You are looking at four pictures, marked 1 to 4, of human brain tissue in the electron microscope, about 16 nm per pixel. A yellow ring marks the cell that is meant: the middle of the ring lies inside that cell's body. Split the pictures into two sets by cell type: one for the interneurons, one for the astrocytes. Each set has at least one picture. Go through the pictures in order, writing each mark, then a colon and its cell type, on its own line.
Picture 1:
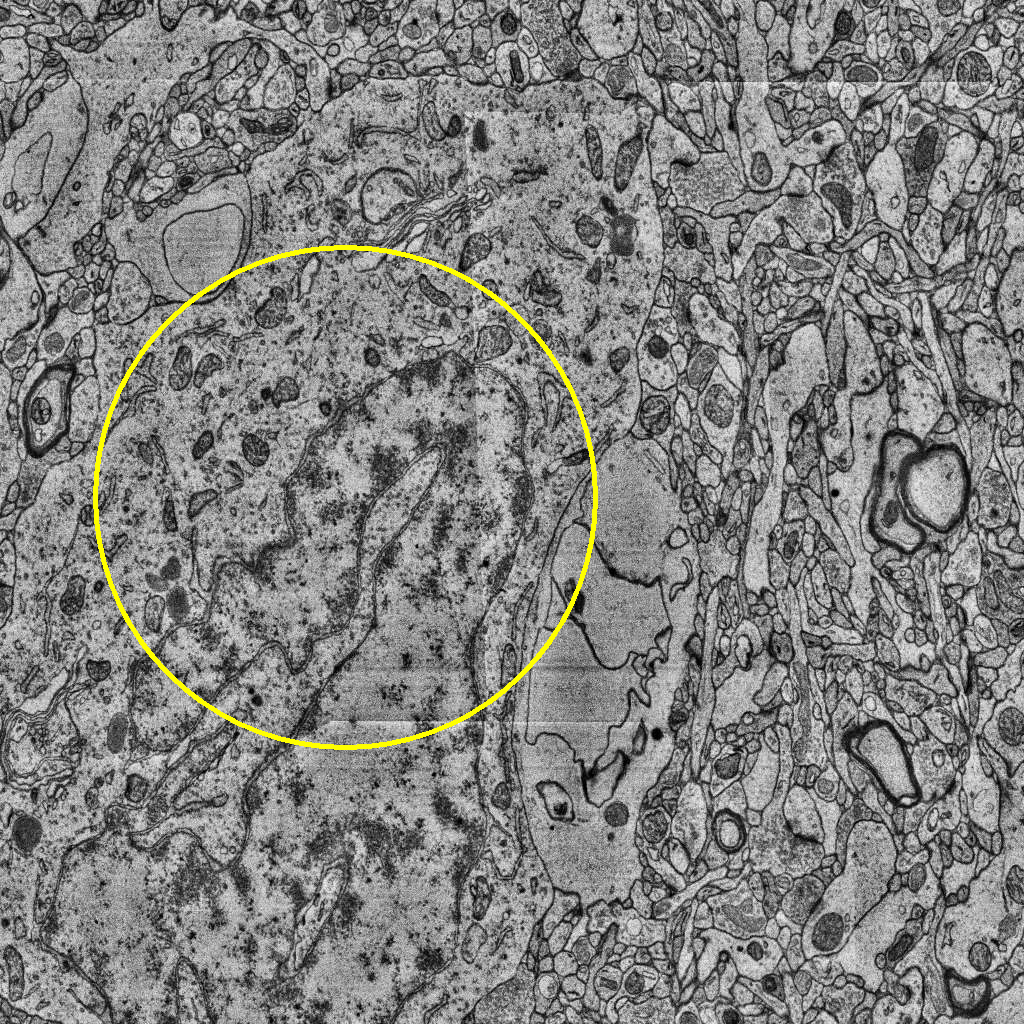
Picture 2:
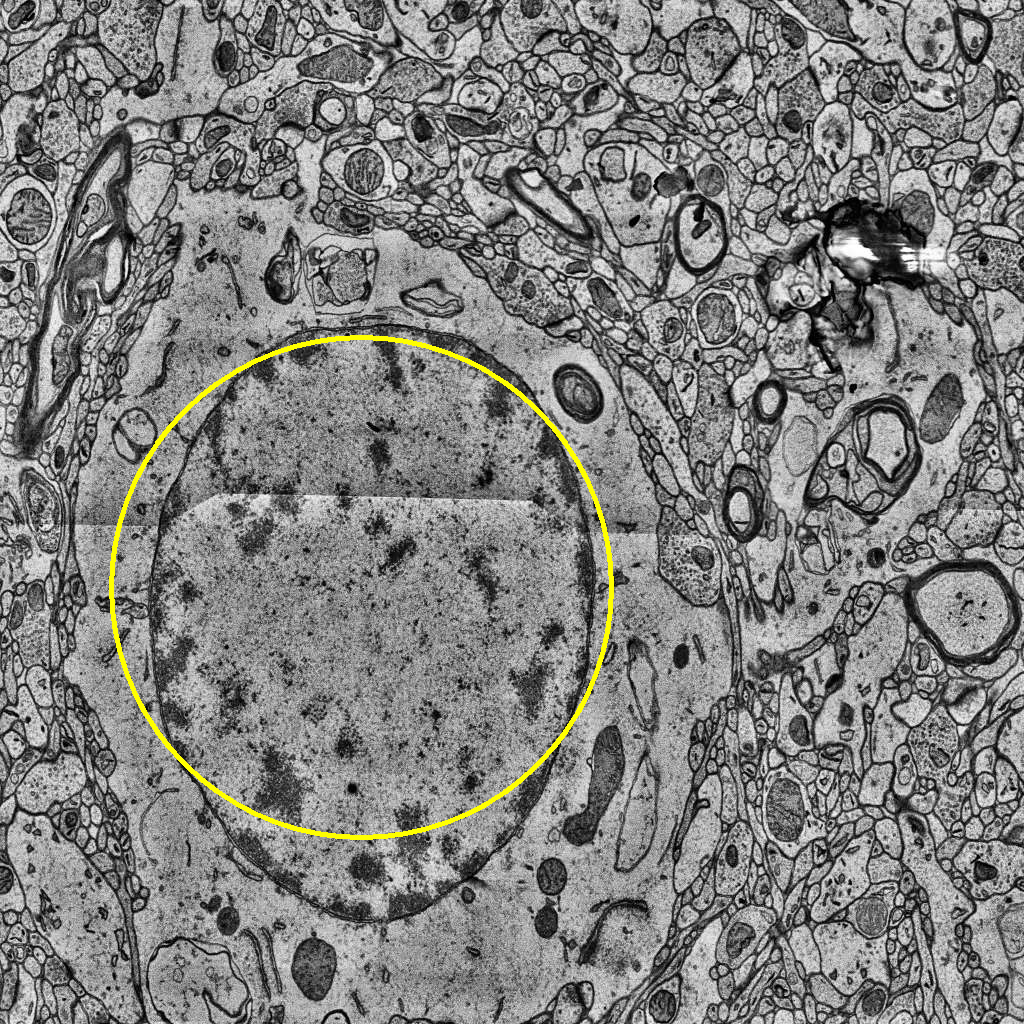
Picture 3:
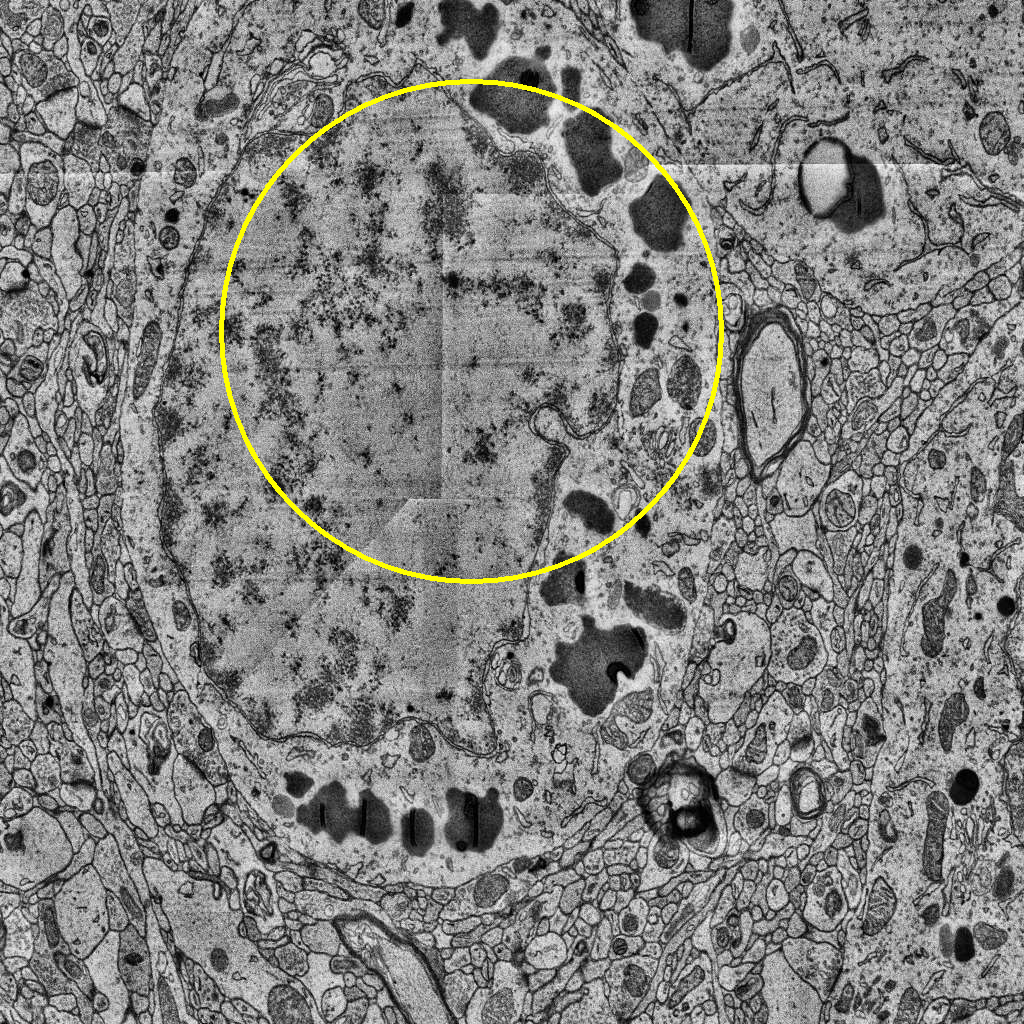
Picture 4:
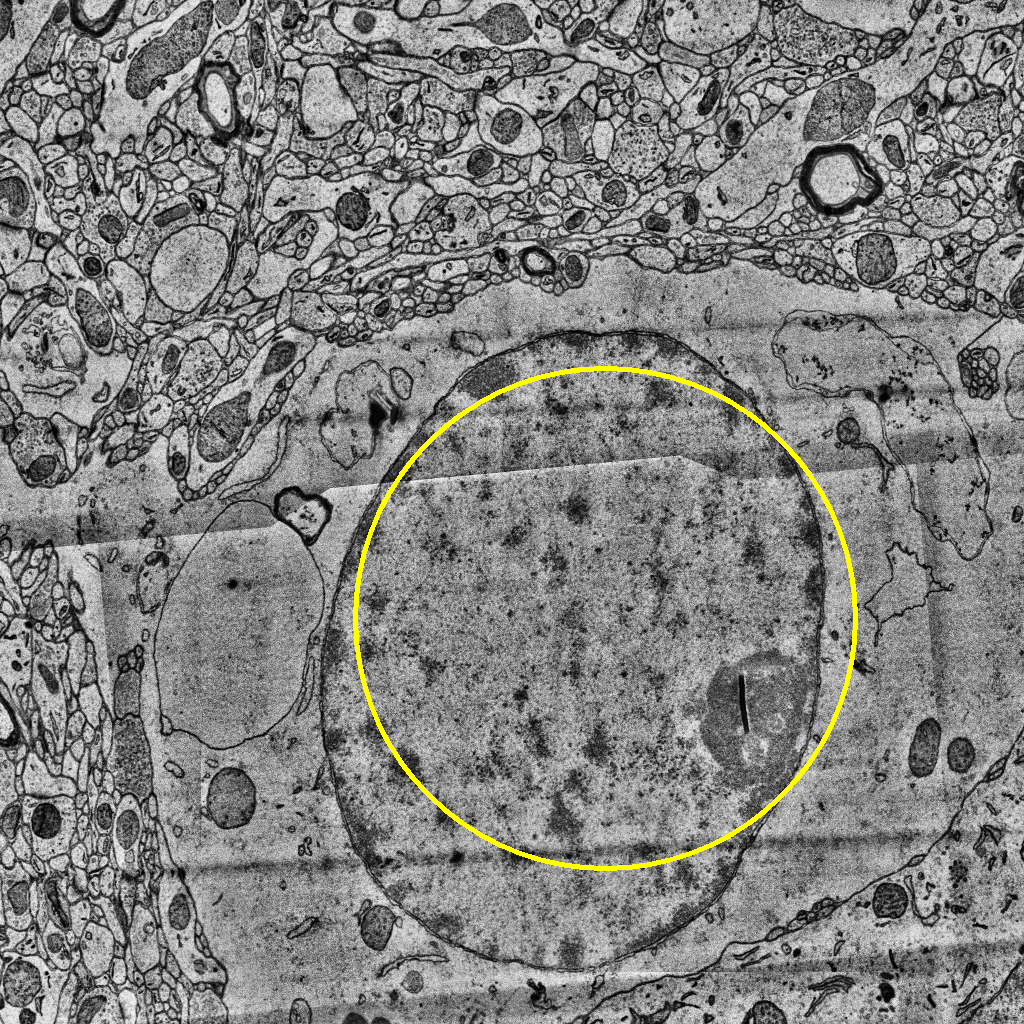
1: interneuron
2: astrocyte
3: interneuron
4: astrocyte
